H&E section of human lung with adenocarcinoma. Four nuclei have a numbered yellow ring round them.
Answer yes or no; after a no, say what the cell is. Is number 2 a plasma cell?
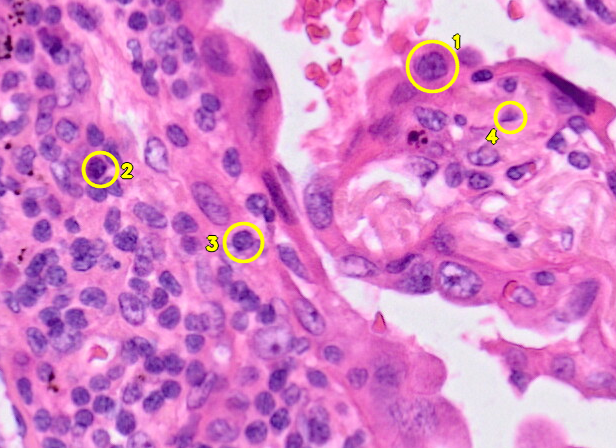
Yes.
